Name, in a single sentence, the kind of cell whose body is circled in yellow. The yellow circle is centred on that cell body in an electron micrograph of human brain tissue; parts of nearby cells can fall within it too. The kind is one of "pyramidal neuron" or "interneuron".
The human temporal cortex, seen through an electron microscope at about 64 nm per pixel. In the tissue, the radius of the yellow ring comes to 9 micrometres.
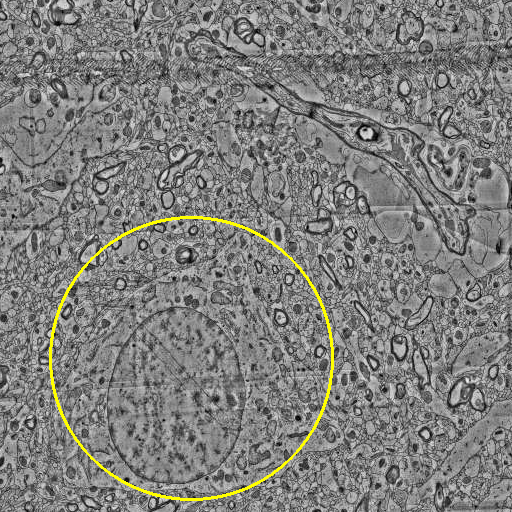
The circled cell body belongs to an interneuron.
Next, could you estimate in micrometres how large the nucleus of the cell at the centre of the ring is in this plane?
Roughly 11 micrometres by 9 micrometres, in this plane.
